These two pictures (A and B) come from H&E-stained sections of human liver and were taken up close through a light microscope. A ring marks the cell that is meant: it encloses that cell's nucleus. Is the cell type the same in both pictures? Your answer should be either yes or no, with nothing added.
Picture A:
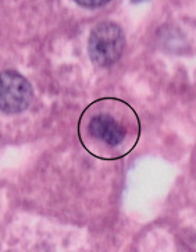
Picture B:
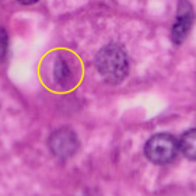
yes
